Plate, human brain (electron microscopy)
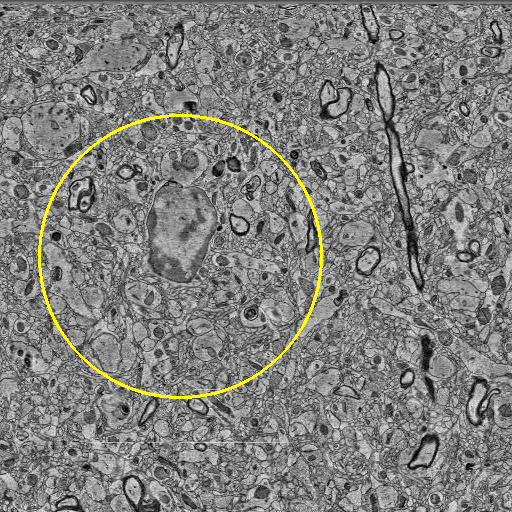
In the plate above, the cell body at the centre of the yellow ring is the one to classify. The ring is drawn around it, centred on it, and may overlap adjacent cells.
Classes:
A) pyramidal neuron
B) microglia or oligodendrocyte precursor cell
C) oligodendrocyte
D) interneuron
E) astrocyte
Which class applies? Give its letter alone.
B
